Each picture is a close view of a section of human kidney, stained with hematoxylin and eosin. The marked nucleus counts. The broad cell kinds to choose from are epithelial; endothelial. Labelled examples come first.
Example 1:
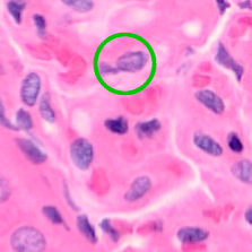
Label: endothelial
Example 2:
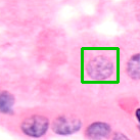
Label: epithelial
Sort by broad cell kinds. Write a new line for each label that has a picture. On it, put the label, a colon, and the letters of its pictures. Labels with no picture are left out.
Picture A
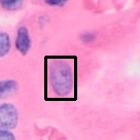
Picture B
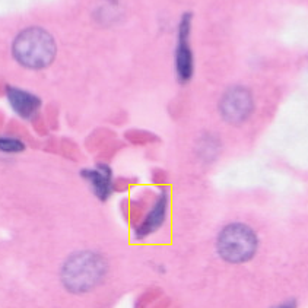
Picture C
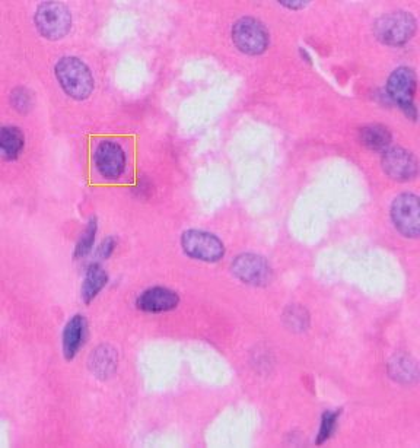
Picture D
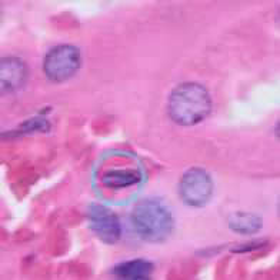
epithelial: A, C
endothelial: B, D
